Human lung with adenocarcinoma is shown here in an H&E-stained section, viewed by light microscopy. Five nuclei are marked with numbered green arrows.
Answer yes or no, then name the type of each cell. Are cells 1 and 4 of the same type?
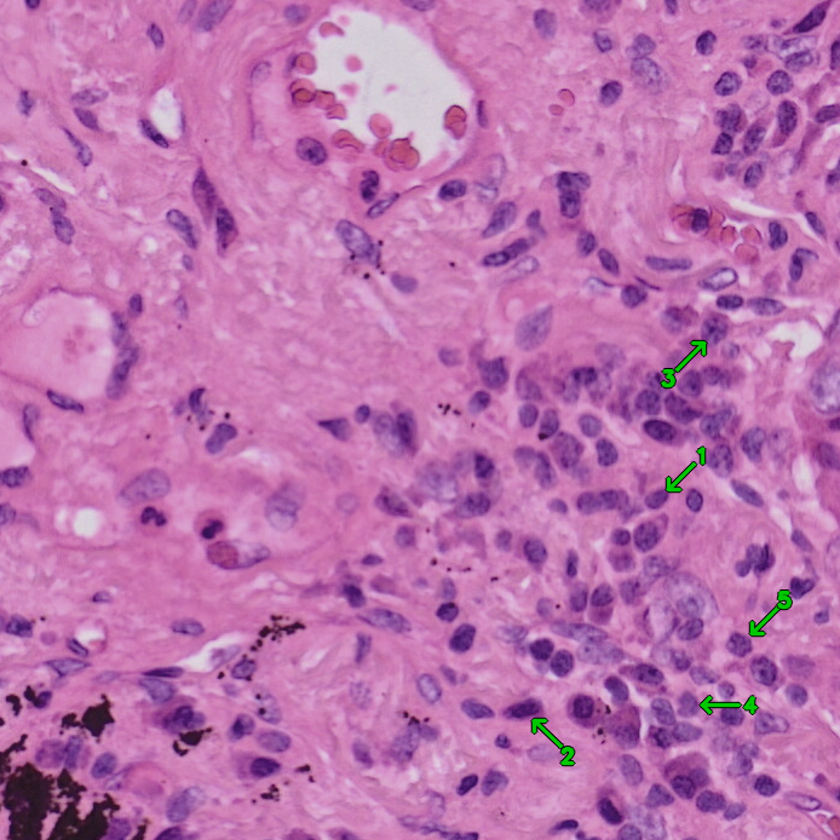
Yes, both cells 1 and 4 are lymphocytes.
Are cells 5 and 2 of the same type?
No, cell 5 is a lymphocyte whereas cell 2 is a plasma cell.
